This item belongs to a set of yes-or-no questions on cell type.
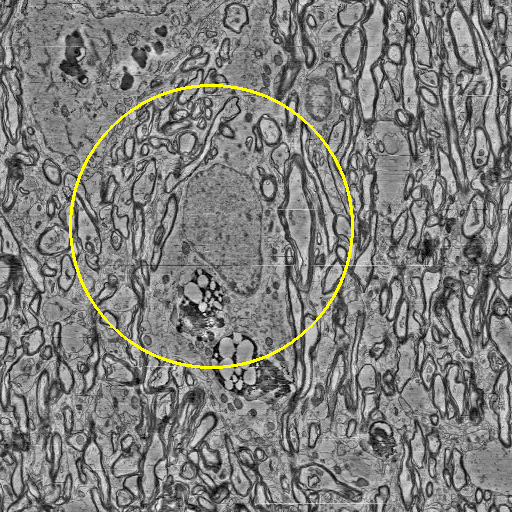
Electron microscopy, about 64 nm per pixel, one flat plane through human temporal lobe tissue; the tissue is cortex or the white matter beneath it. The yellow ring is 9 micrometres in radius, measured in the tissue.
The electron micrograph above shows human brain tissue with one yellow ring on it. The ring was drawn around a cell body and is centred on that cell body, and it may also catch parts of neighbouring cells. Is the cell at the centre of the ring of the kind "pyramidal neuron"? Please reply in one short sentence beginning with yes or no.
No, that cell is of another kind.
